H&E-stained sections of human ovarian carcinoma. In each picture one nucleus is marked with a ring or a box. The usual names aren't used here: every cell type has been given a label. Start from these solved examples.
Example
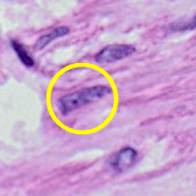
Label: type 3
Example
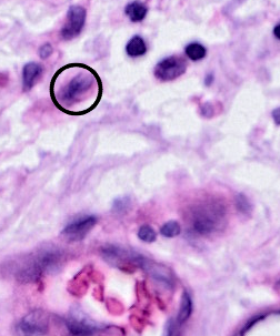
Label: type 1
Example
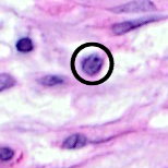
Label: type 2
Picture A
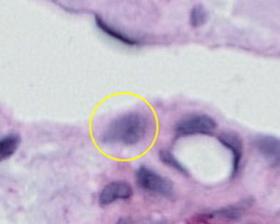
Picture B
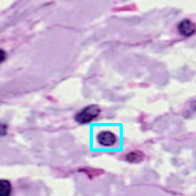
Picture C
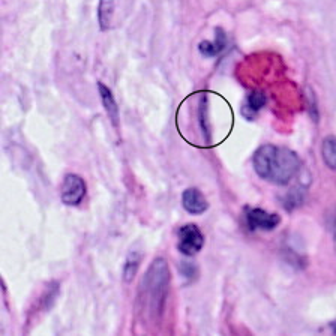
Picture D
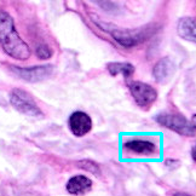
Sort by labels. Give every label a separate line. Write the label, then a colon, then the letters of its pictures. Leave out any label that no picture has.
type 1: A, C
type 2: B, D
